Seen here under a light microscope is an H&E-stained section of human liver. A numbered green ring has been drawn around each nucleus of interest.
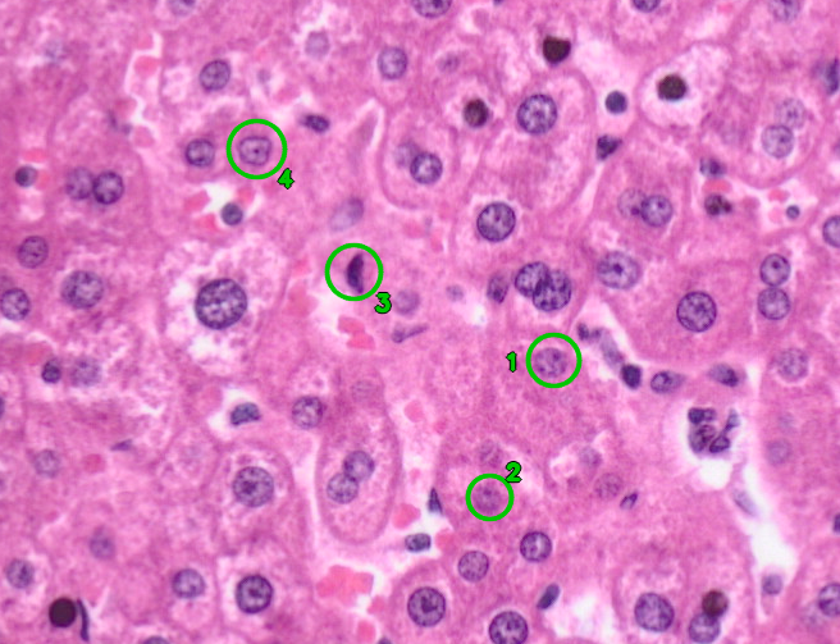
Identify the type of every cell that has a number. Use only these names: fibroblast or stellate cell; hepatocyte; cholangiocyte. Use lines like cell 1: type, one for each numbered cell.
cell 1: hepatocyte
cell 2: hepatocyte
cell 3: fibroblast or stellate cell
cell 4: hepatocyte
